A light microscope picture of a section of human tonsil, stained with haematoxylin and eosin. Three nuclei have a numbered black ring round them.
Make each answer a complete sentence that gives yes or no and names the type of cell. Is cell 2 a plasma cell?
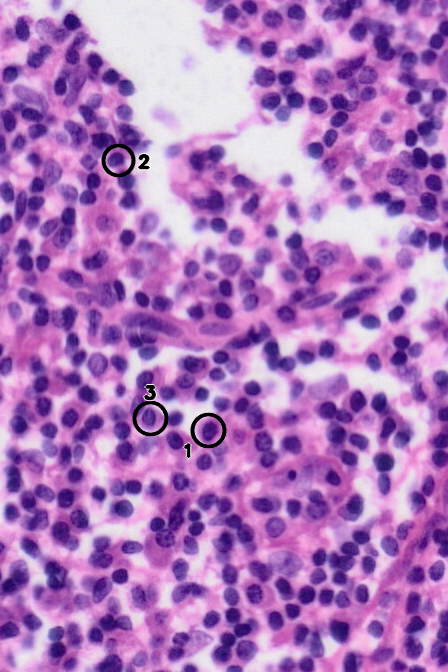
No, the one with number 2 is a small lymphocyte, not a plasma cell.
